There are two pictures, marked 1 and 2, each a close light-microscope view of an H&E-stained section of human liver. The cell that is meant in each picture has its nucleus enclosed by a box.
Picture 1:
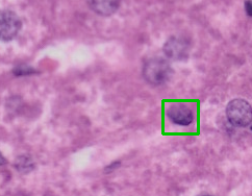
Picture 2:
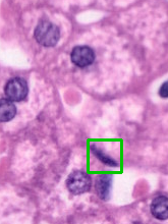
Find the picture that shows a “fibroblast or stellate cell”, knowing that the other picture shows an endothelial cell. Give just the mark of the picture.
2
